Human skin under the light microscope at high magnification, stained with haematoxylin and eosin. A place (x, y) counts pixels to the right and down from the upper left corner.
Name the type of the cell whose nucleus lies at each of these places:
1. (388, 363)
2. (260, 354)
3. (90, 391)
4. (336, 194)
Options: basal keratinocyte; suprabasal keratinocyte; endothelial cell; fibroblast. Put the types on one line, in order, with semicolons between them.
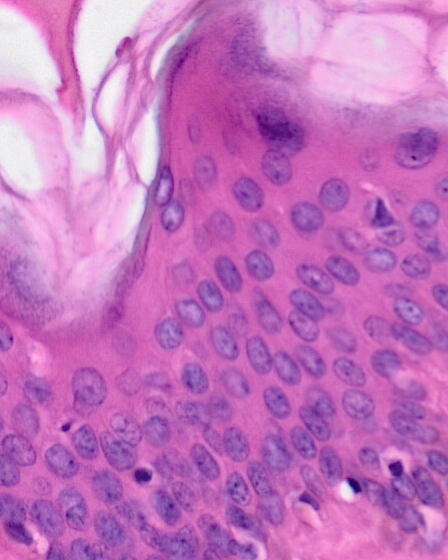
basal keratinocyte; suprabasal keratinocyte; suprabasal keratinocyte; suprabasal keratinocyte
